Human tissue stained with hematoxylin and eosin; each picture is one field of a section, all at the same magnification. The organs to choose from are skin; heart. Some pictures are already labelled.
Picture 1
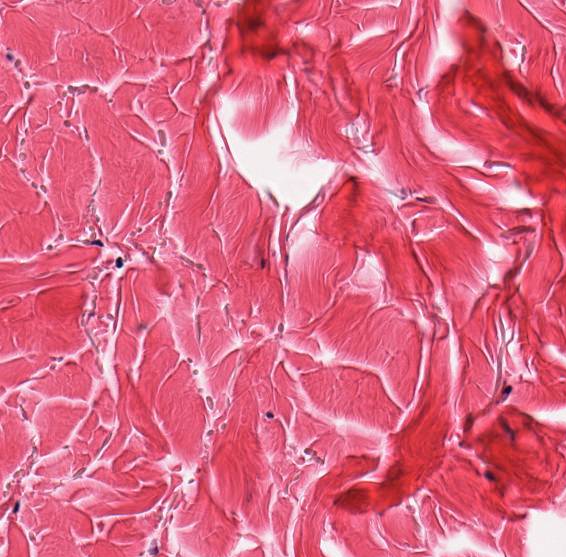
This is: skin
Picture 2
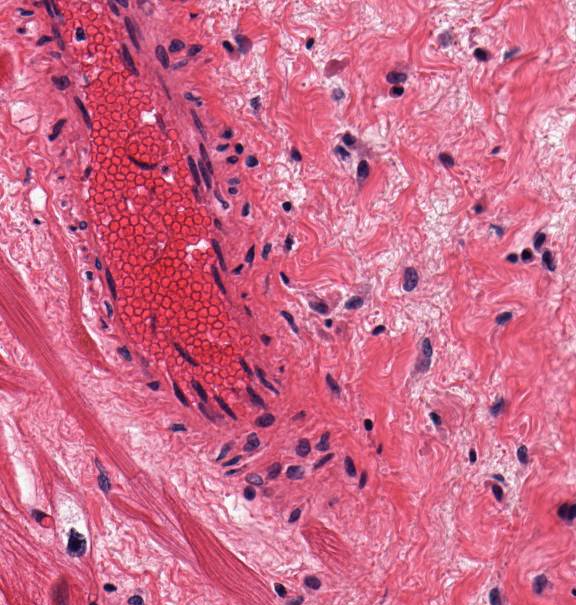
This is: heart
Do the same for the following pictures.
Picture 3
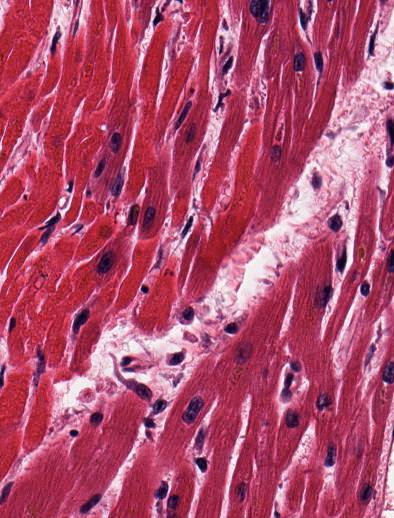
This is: heart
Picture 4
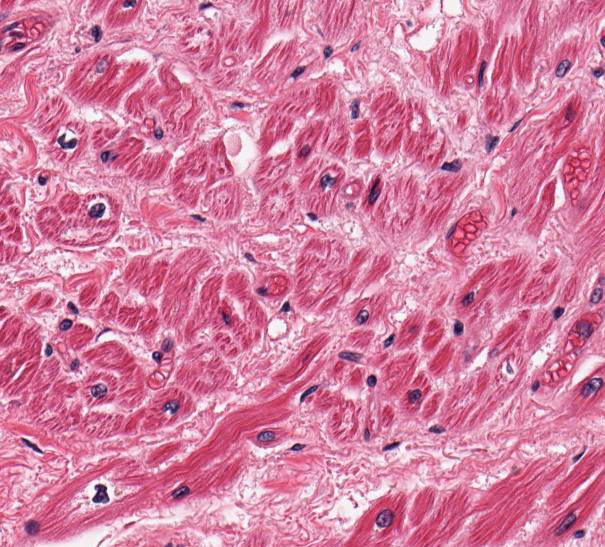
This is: heart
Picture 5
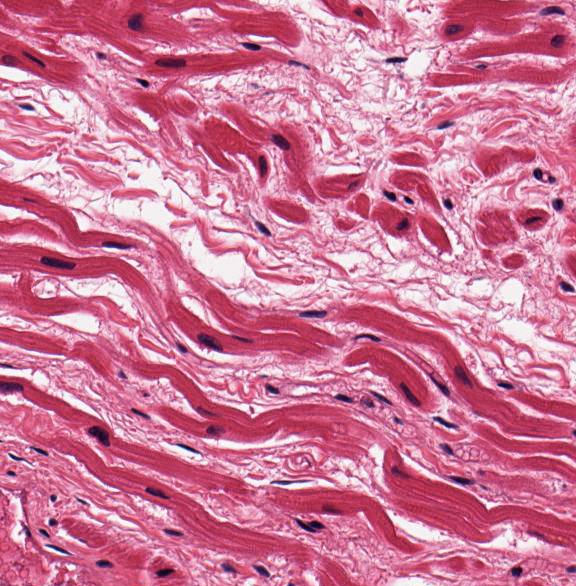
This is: heart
